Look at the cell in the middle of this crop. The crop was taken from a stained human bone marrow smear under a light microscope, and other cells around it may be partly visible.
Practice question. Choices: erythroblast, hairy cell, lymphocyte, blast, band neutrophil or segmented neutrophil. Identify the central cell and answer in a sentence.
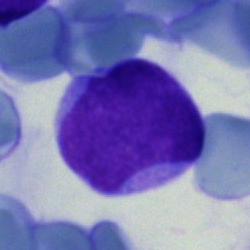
The cell marked by its central position in the crop is a blast.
